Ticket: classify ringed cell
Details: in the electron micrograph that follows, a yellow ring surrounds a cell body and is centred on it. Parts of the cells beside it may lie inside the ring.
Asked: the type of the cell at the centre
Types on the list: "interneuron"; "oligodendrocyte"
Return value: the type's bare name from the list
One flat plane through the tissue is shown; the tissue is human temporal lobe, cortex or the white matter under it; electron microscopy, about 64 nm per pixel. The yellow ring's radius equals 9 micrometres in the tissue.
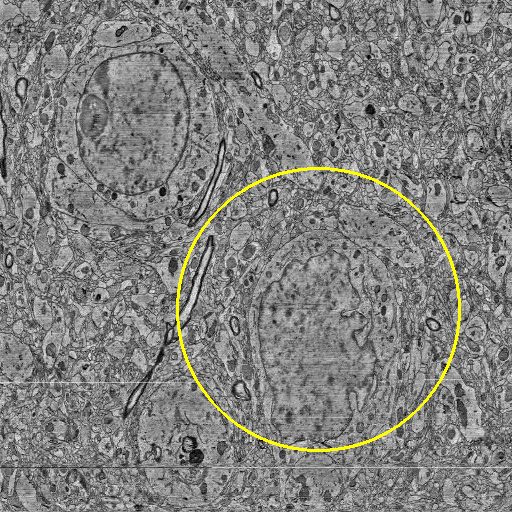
interneuron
